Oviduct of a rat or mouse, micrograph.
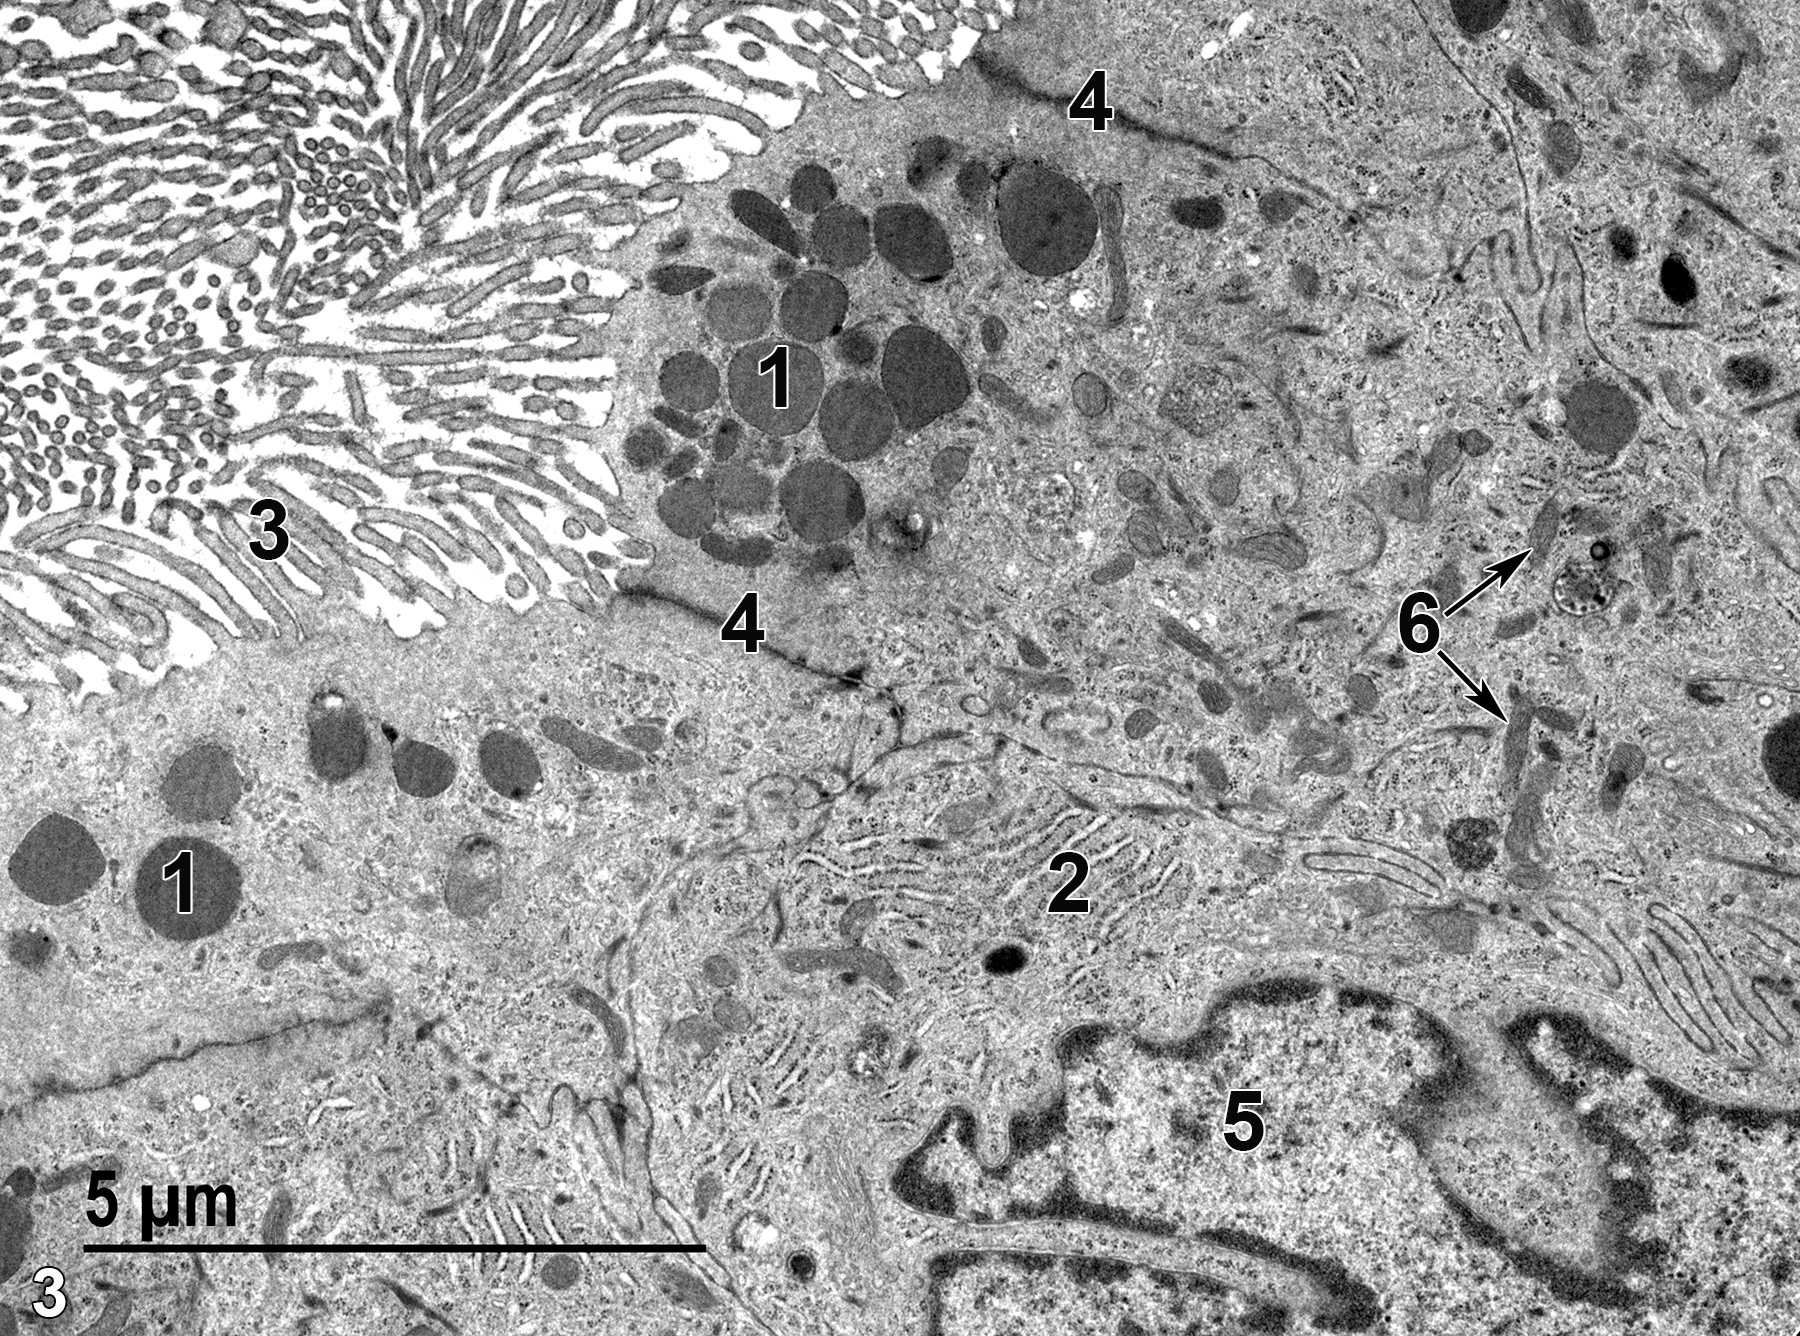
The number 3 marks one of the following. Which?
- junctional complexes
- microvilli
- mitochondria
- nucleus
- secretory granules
microvilli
